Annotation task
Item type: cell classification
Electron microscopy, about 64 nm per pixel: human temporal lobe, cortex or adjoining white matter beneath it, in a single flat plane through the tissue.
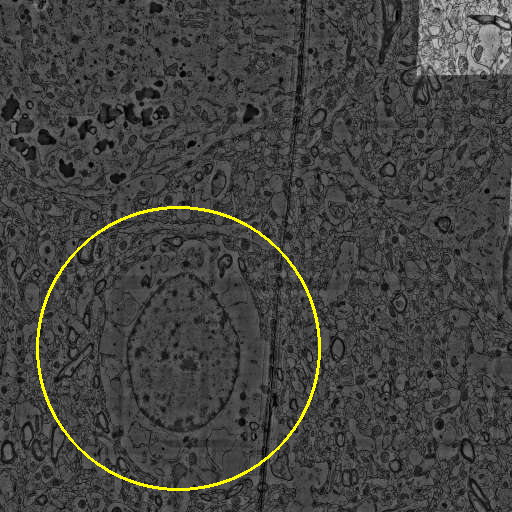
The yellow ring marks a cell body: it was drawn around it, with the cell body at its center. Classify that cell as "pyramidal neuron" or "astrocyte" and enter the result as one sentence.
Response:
The ring's center falls on an astrocyte.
